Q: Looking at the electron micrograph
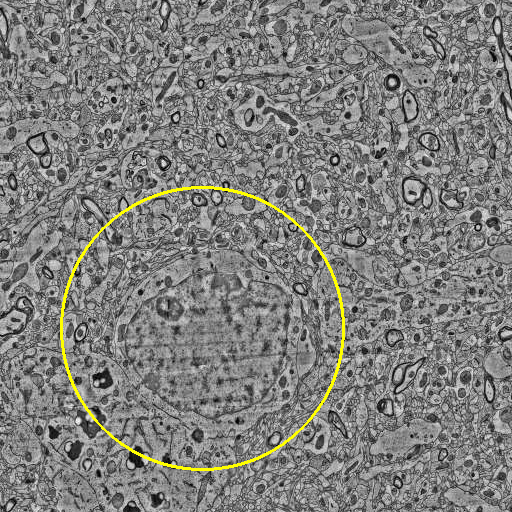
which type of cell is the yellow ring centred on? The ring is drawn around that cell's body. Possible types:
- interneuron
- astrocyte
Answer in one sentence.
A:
The yellow ring is centred on an interneuron.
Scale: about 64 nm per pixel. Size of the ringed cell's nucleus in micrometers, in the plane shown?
Approximately 11 by 9 micrometers in this plane.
